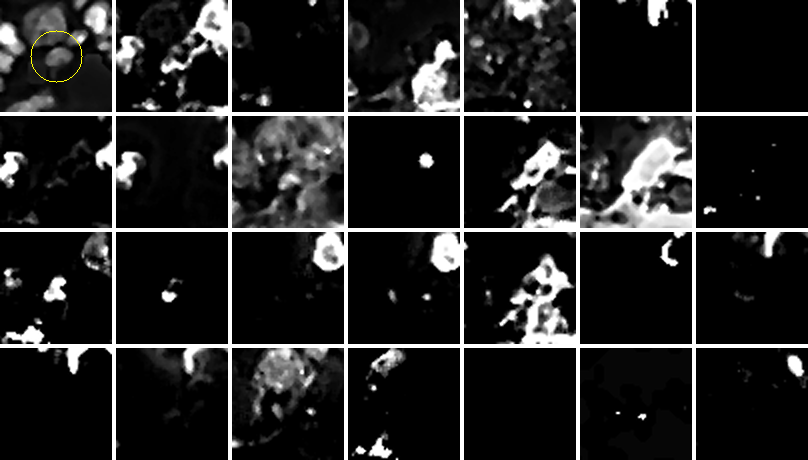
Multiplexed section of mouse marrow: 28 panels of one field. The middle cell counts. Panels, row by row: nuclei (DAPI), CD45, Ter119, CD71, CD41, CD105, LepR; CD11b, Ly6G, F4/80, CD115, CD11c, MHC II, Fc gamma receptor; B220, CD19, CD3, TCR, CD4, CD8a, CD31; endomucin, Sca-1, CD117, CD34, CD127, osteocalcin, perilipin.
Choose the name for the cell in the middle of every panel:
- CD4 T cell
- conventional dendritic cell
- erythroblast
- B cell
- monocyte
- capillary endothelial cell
conventional dendritic cell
